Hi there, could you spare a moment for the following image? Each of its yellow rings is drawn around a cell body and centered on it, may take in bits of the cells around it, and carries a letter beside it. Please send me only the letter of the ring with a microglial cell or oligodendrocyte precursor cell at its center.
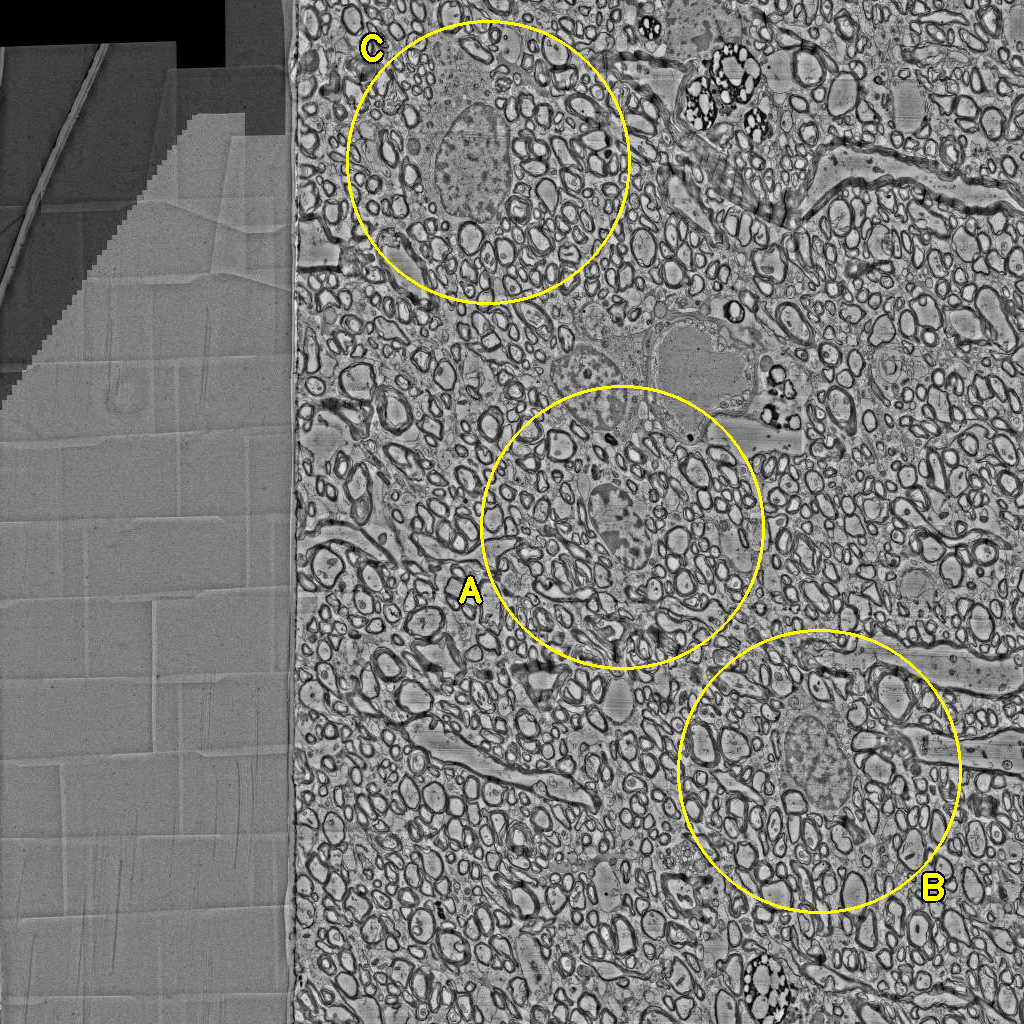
A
